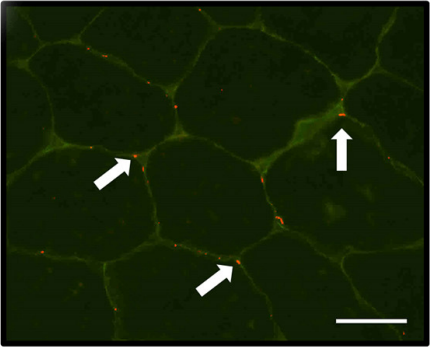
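This is a magnified cross-section of skeletal muscle showing several large, polygonal muscle fibers. Each fiber is bounded by a thin green outline, and the fiber interiors are dark. Small red dots sit on the green borders between adjacent fibers. White arrows point to several of these red dots at the fiber edges.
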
